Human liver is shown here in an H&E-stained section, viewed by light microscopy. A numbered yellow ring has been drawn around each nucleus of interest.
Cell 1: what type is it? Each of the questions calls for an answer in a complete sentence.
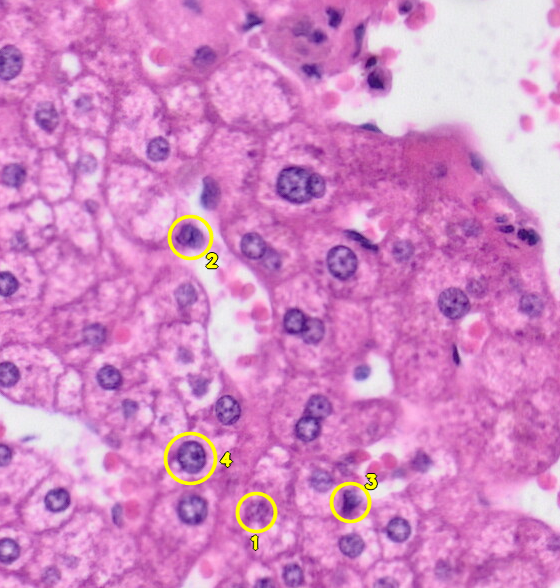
Classified as a hepatocyte is the cell with the number 1.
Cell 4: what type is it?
Marked with the number 4, this cell is a hepatocyte.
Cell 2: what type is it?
Of the numbered cells, the one labelled 2 is a Kupffer cell.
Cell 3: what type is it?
Among the marked nuclei, number 3 belongs to a fibroblast or stellate cell.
